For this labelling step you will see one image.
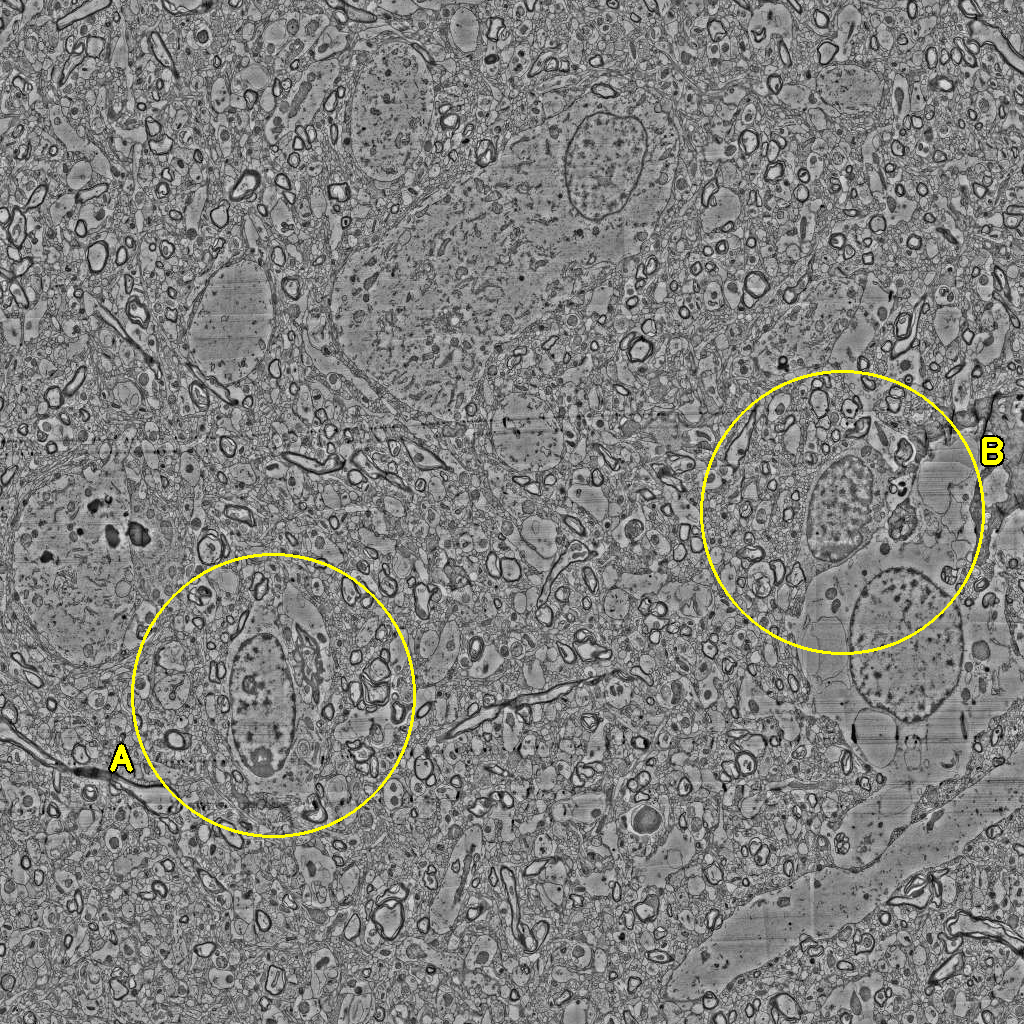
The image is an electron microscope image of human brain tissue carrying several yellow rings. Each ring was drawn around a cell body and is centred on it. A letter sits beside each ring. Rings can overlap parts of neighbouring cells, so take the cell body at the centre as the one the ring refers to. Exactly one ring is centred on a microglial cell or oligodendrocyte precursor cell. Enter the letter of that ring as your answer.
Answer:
A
